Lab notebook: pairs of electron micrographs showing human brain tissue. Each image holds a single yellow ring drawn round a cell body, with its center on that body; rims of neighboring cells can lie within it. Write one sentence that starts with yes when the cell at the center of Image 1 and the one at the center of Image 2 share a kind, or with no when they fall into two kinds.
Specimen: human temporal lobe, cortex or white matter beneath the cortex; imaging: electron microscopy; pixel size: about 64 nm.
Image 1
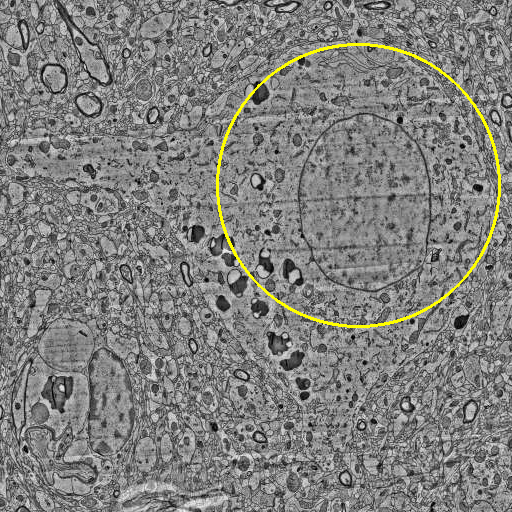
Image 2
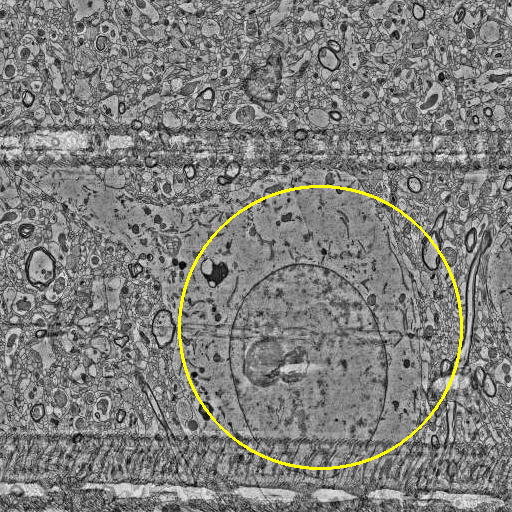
Yes, the centered cell in Image 1 and the centered cell in Image 2 are of one kind.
